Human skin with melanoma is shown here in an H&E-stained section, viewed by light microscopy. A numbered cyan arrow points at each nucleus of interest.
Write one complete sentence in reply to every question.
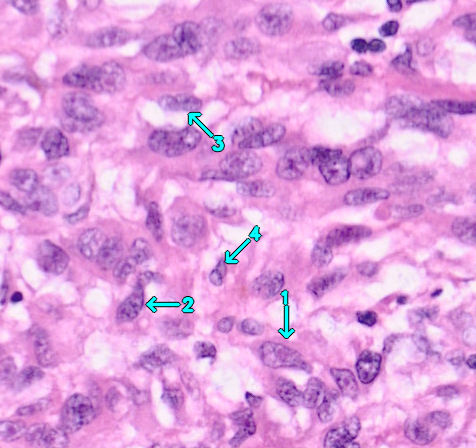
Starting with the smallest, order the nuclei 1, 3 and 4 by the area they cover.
From smallest to largest, the order is 4, 3, 1.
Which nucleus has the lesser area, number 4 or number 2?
With nucleus 2 about 2 times its size, nucleus 4 is the smaller of the two.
